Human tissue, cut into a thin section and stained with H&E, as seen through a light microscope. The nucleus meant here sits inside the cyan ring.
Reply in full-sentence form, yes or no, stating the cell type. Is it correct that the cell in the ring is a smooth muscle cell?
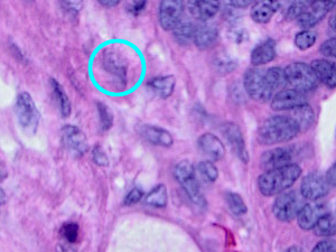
No, the cell in the ring counts as a fibroblast rather than as a smooth muscle cell.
